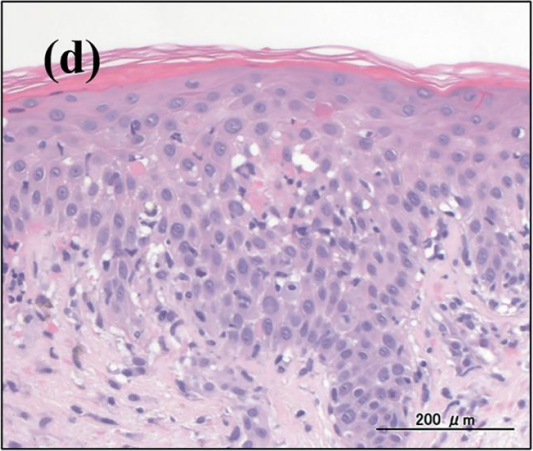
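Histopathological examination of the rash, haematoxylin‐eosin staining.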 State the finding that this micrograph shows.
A: Vacuolar change.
